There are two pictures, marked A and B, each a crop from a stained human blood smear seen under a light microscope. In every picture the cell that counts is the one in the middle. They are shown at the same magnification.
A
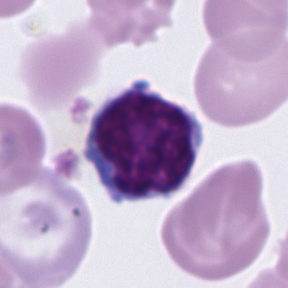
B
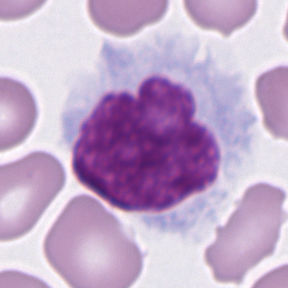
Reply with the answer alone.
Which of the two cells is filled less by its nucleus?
B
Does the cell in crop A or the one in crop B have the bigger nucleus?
B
